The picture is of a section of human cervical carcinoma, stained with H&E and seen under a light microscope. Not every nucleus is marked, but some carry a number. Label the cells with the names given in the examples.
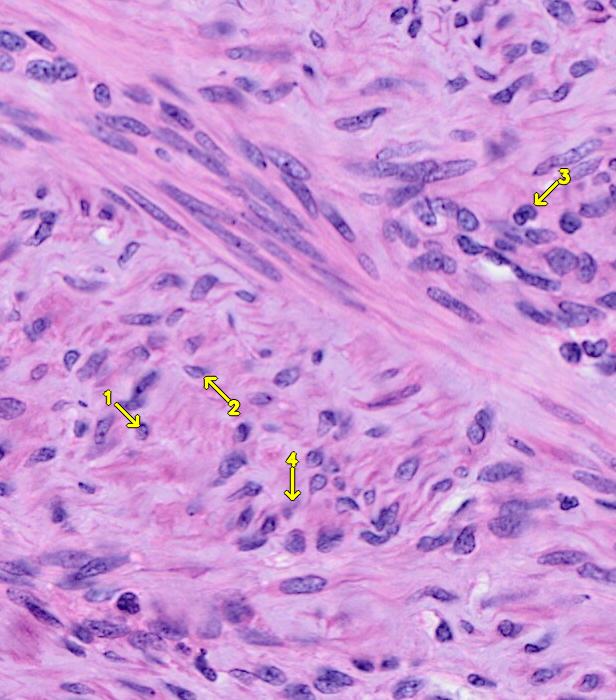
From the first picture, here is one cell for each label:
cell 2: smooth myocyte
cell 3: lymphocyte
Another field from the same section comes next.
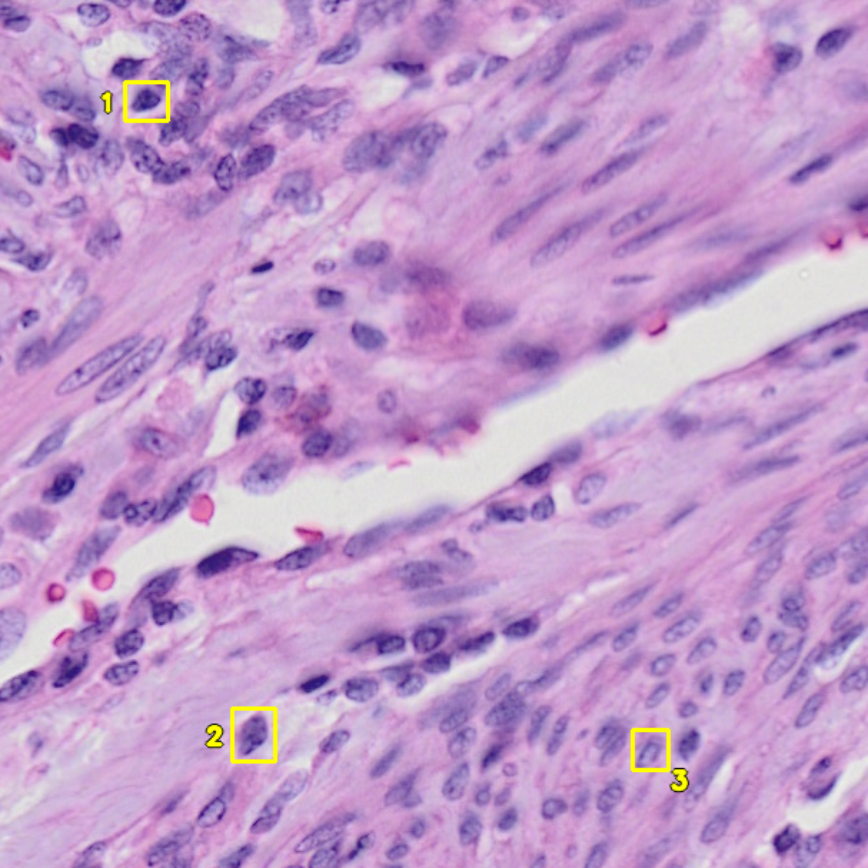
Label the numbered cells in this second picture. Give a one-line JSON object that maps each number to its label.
{"1": "lymphocyte", "2": "lymphocyte", "3": "smooth myocyte"}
